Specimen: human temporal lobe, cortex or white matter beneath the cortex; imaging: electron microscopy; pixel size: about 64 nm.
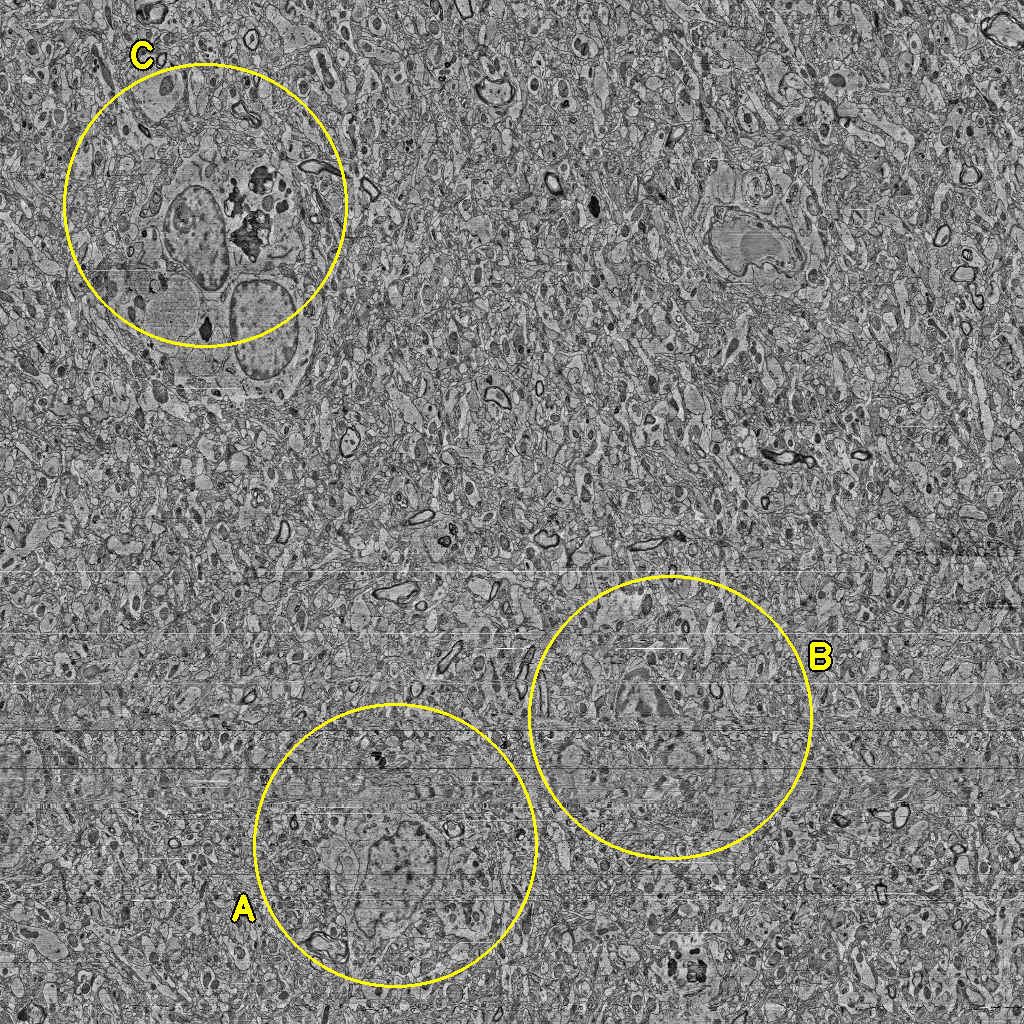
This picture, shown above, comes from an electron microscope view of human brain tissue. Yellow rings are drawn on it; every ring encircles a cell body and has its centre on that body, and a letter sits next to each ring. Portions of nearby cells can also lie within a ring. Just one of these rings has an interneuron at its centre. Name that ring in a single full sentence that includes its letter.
In the picture, ring A has the cell asked for at its centre.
